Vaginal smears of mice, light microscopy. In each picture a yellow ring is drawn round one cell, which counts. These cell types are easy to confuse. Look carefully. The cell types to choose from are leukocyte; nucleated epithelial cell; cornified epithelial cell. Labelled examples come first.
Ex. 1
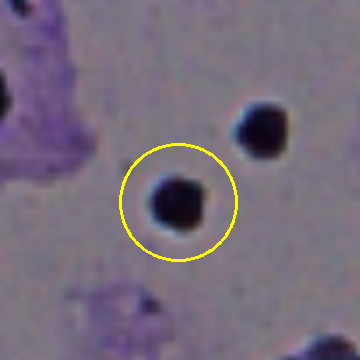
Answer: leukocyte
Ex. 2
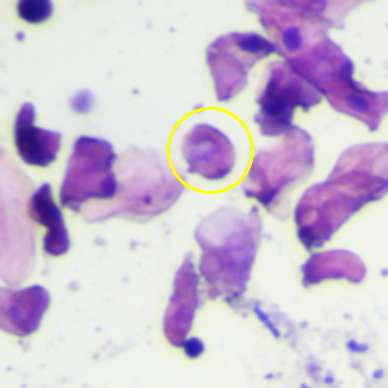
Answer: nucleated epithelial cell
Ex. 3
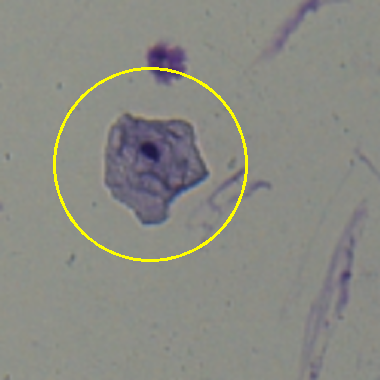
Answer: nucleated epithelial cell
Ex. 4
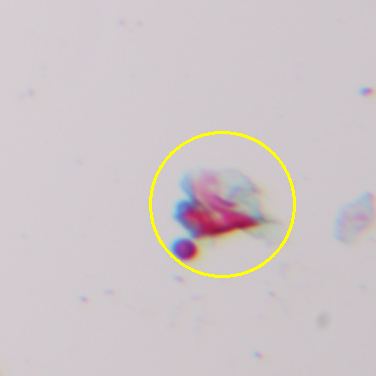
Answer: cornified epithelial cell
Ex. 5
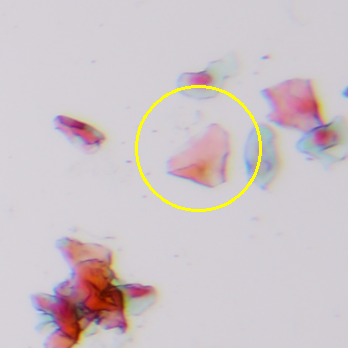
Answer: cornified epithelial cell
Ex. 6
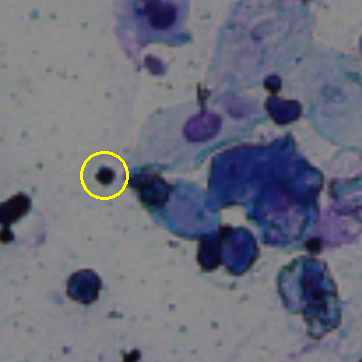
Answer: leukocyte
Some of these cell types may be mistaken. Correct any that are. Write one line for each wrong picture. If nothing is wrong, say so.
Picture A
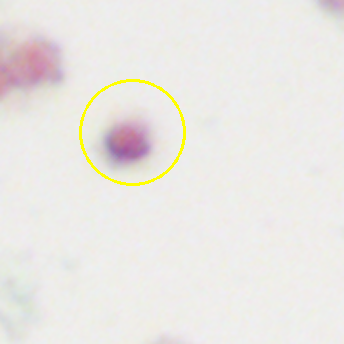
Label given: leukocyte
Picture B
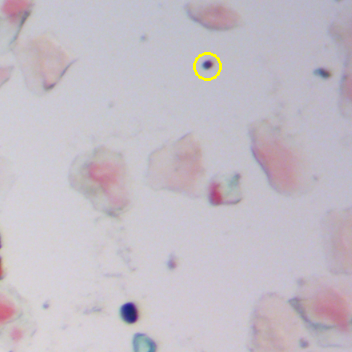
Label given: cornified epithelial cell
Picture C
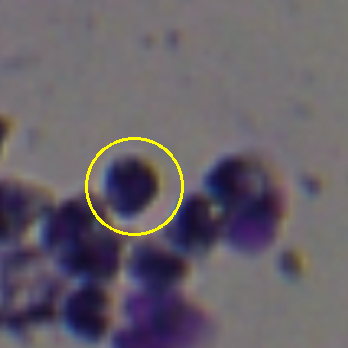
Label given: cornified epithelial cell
B should be leukocyte, not cornified epithelial cell
C should be leukocyte, not cornified epithelial cell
